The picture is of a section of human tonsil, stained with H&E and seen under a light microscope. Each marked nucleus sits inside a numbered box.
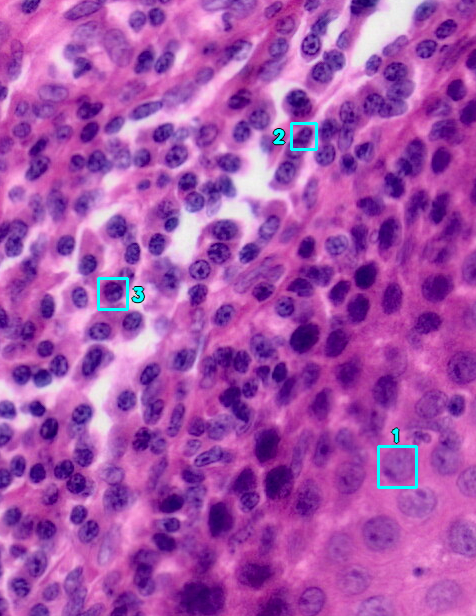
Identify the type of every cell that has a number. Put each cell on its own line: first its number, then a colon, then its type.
1: squamous epithelial cell
2: plasma cell
3: plasma cell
